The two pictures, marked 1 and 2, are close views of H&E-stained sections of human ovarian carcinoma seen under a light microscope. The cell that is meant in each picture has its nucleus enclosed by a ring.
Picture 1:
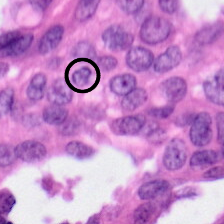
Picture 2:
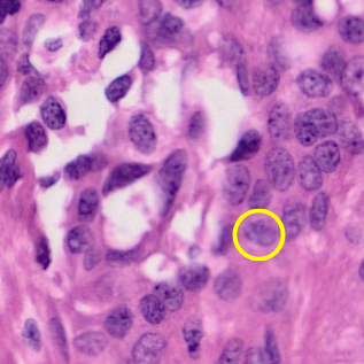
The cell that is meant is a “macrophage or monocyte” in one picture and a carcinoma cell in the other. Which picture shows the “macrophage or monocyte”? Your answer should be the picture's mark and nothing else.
1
